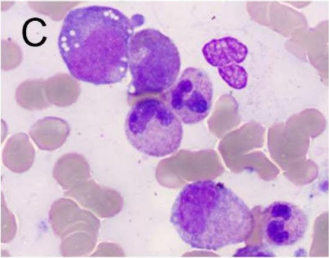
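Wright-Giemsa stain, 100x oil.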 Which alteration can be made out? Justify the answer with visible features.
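A large cell at upper left has many small clear holes in its cytoplasm. So: vacuolization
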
